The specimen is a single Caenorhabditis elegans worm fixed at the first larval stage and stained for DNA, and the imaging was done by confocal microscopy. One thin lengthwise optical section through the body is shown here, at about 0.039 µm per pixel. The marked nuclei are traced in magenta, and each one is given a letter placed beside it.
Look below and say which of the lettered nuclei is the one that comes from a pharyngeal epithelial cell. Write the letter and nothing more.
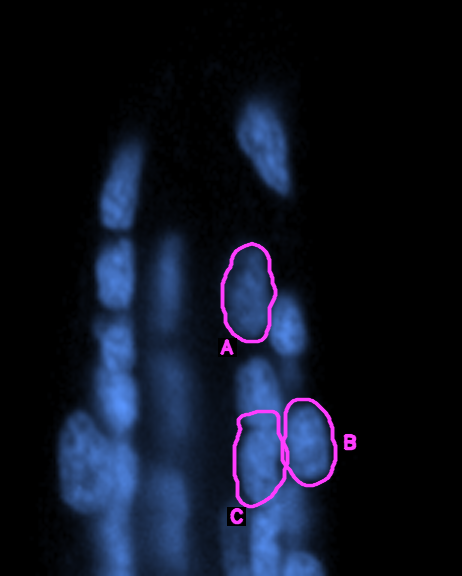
A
